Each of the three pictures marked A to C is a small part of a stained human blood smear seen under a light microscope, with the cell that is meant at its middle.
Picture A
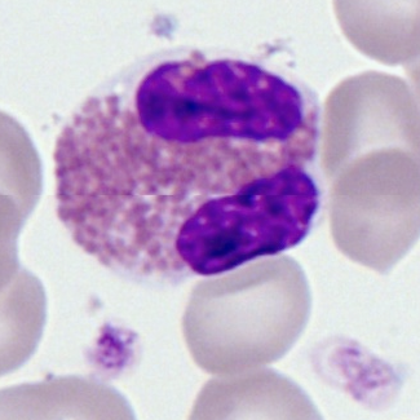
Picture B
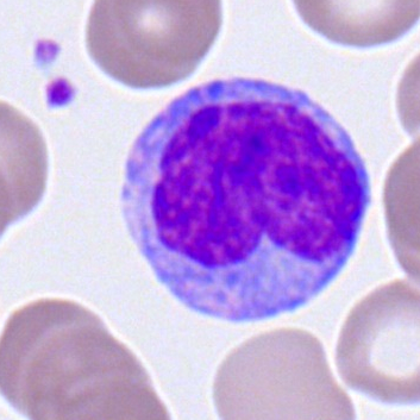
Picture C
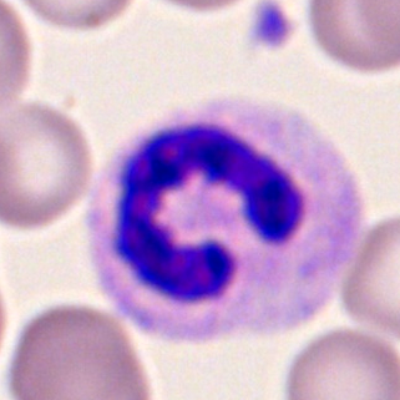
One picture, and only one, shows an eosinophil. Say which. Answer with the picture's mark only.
A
